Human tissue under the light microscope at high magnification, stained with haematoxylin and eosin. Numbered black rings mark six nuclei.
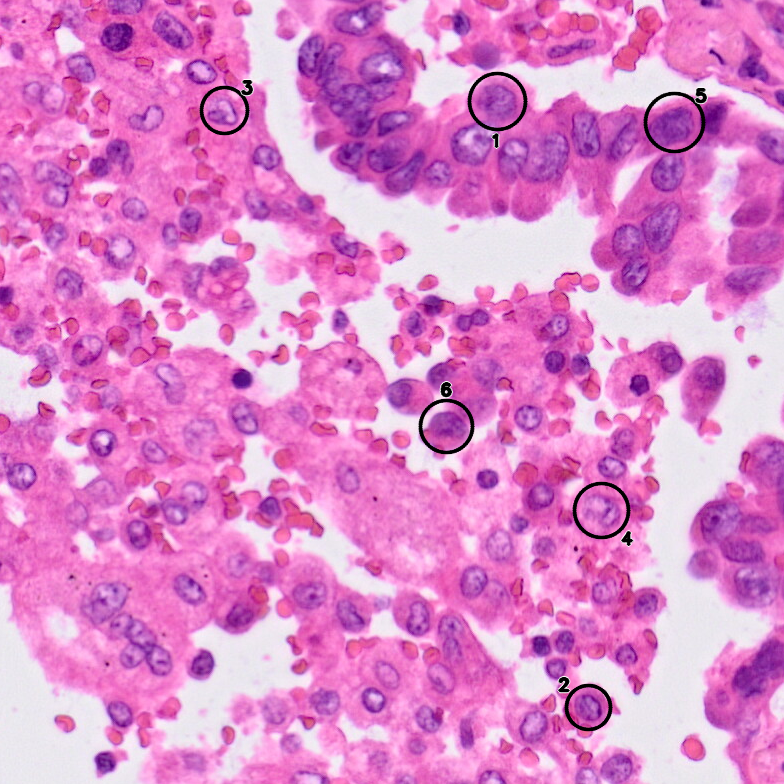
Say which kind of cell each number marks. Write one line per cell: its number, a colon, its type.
1: carcinoma cell
2: macrophage or monocyte
3: macrophage or monocyte
4: macrophage or monocyte
5: carcinoma cell
6: carcinoma cell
